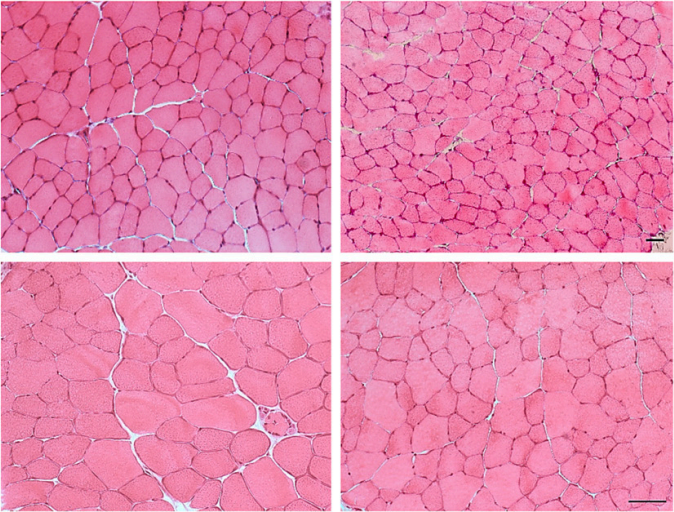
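These are four fields of skeletal muscle cut in cross section, each made of tightly packed, polygonal muscle fibers with evenly pink cytoplasm. The small dark purple nuclei sit at the edges of the fibers rather than in their centres. Thin, pale, partly white gaps of connective tissue run between the fibers. The fibers differ clearly in size from one field to another, some fields showing many small fibers and others fewer, much larger ones.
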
